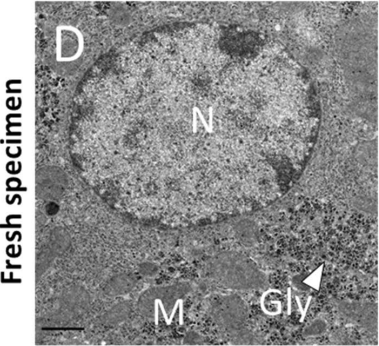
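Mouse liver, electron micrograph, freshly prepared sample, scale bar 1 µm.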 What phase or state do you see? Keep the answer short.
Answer: Euchromatic.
